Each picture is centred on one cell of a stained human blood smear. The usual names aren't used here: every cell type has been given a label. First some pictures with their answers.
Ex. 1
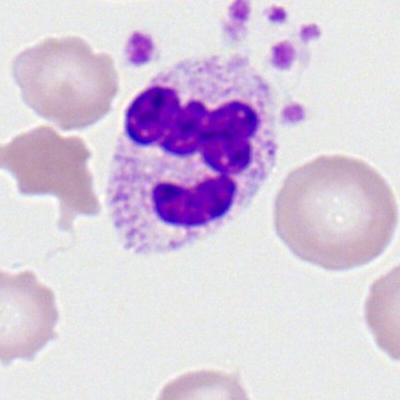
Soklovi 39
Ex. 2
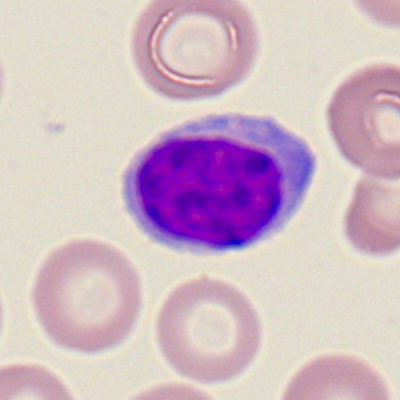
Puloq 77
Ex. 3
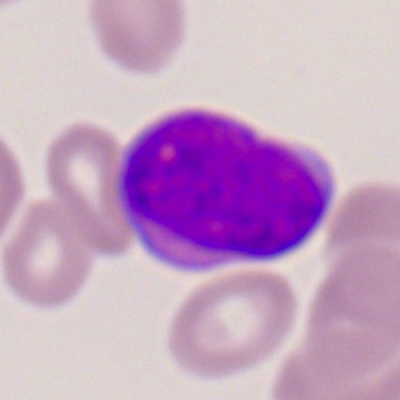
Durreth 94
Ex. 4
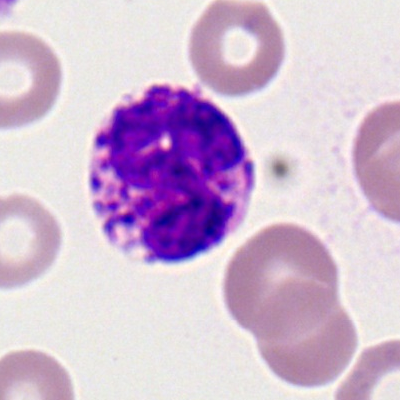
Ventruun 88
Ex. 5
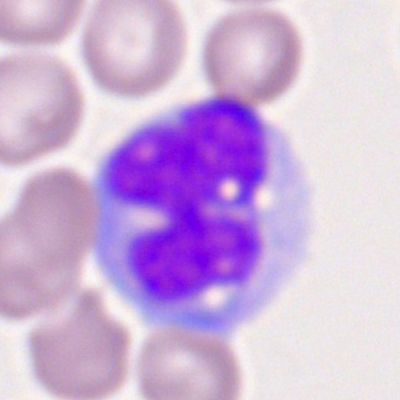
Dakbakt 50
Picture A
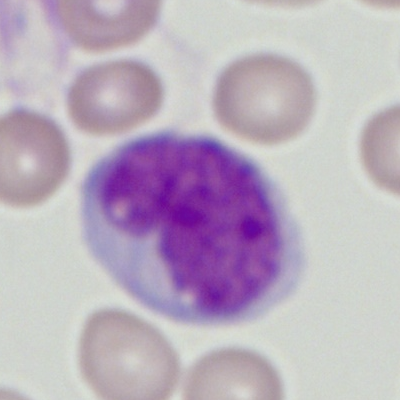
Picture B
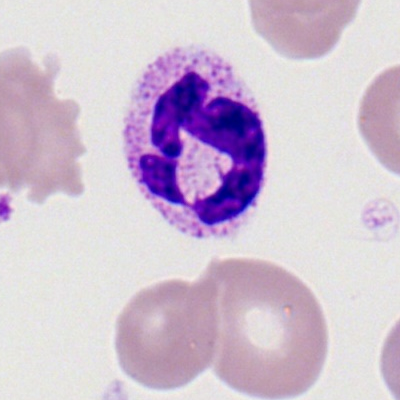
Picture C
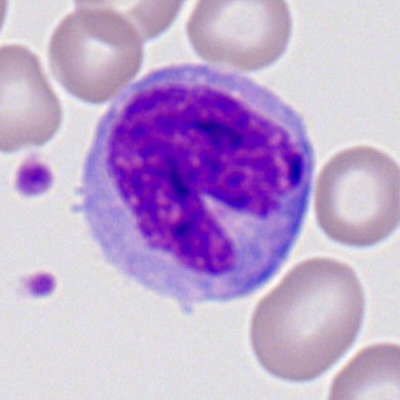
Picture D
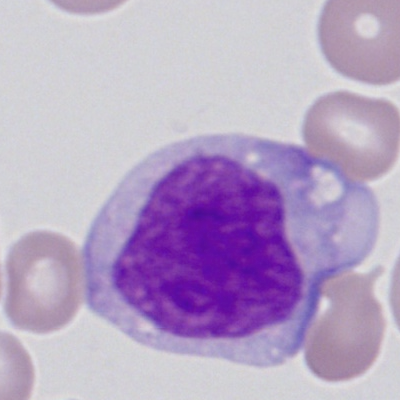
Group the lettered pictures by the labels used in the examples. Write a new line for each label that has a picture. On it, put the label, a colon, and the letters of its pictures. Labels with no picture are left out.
Soklovi 39: B
Dakbakt 50: A, C, D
